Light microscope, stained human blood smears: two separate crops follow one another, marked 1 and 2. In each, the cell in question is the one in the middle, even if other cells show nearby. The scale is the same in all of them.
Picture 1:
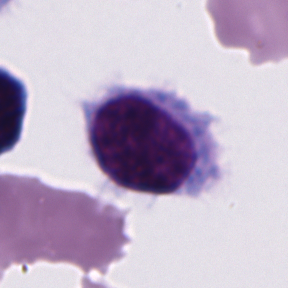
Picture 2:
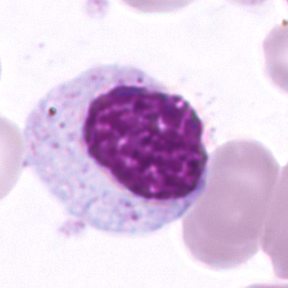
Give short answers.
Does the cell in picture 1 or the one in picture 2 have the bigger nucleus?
2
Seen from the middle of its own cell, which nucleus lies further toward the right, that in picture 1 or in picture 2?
2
